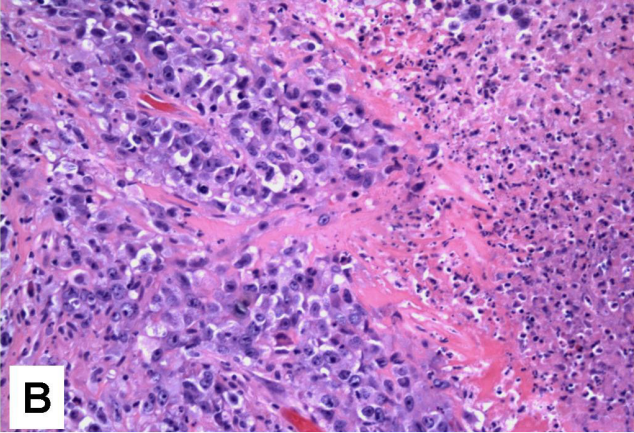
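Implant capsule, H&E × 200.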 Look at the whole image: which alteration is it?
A: Areas of necrosis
